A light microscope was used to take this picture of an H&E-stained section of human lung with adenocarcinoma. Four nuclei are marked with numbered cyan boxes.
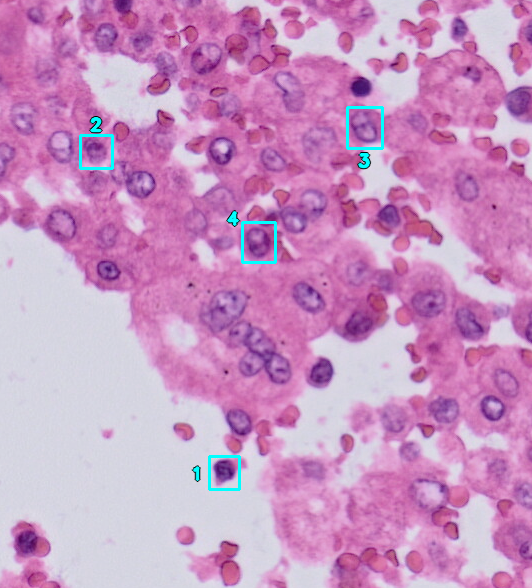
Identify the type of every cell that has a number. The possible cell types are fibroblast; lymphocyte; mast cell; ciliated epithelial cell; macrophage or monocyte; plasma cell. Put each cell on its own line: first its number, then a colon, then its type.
1: lymphocyte
2: macrophage or monocyte
3: macrophage or monocyte
4: macrophage or monocyte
